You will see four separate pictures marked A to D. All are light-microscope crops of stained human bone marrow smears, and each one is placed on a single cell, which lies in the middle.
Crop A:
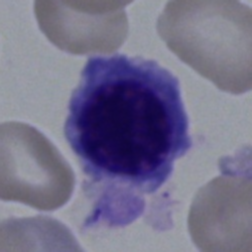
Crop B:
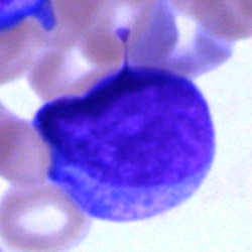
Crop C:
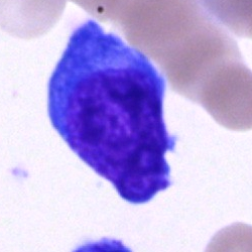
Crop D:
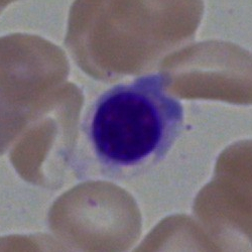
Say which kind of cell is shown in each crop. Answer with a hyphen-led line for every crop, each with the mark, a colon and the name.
- A: erythroblast
- B: blast
- C: blast
- D: erythroblast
